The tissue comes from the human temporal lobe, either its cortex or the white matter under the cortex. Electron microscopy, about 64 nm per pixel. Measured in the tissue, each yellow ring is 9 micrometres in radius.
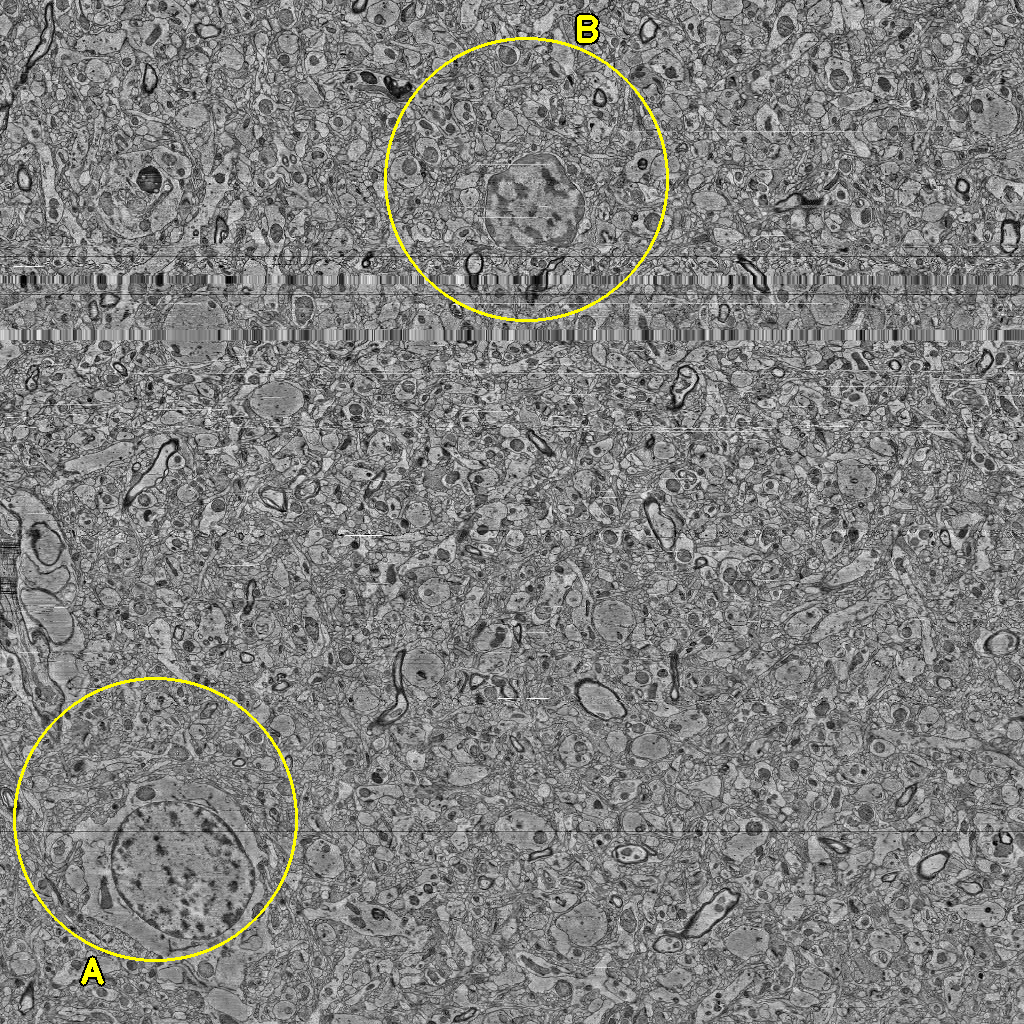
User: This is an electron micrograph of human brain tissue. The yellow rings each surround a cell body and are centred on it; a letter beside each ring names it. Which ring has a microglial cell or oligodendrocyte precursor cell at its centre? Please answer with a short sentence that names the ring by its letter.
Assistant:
Ring B has it at its centre.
